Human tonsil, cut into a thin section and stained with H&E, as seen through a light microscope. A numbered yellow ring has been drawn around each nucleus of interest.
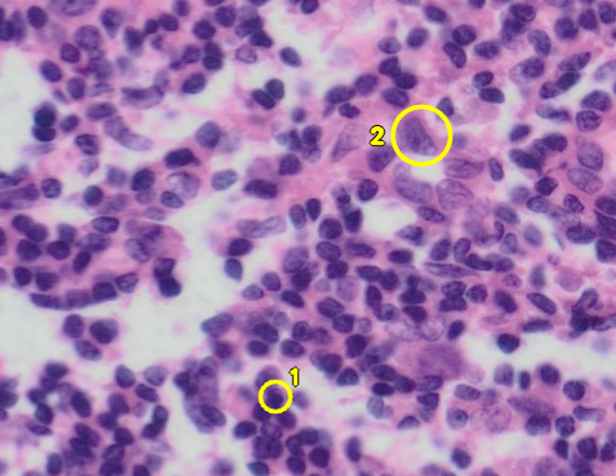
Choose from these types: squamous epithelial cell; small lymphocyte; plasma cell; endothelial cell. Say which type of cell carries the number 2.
endothelial cell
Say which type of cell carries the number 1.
small lymphocyte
